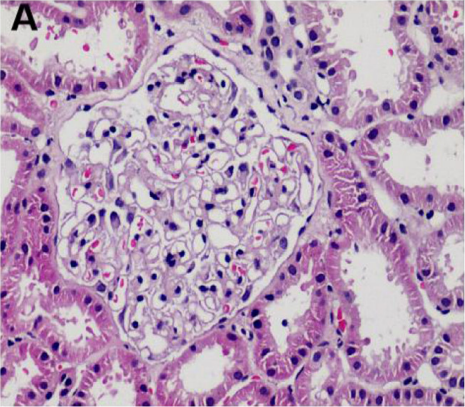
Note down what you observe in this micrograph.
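A rounded glomerular tuft lies in the centre, separated from its capsule by a narrow clear space, and ringed by tubules lined with pink cuboidal epithelial cells whose lumens are pale. The tuft is made of many open capillary loops with pale pink walls that look rigid and somewhat thick; scattered small dark-blue nuclei sit along and between the loops, and a few bright red blood cells lie in the lumens. The tuft is not crowded with extra cells. These features fit a glomerulus with diffusely thickened capillary walls.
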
